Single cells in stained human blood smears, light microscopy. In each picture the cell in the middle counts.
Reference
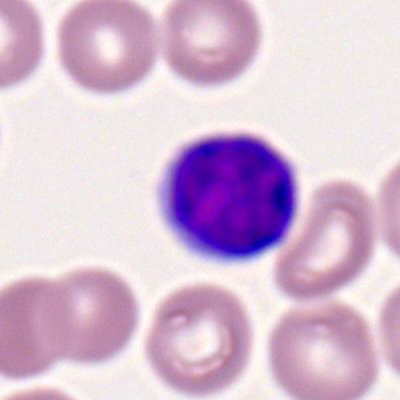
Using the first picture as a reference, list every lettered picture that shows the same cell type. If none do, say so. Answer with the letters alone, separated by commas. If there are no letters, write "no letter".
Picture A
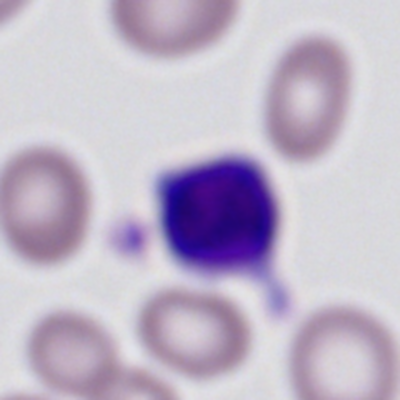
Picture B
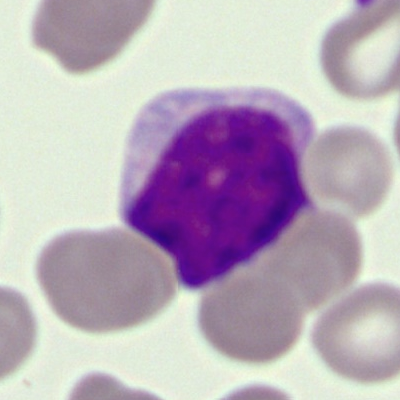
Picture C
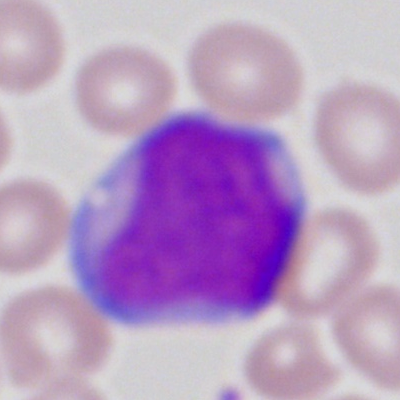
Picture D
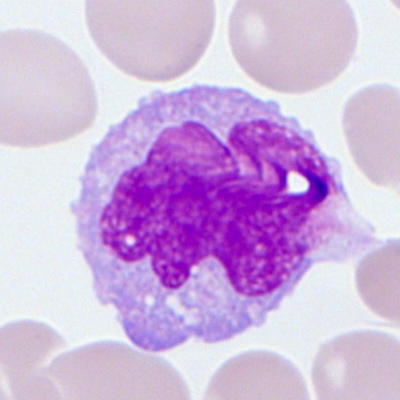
A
